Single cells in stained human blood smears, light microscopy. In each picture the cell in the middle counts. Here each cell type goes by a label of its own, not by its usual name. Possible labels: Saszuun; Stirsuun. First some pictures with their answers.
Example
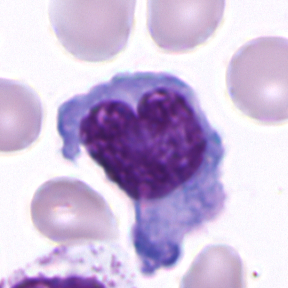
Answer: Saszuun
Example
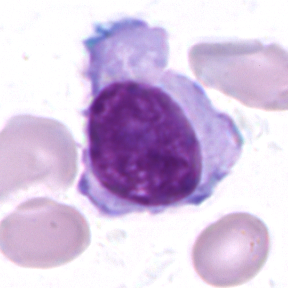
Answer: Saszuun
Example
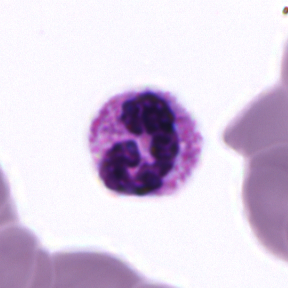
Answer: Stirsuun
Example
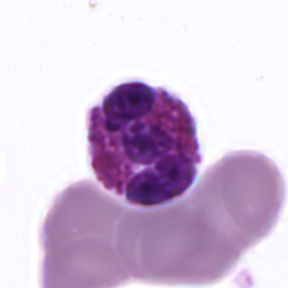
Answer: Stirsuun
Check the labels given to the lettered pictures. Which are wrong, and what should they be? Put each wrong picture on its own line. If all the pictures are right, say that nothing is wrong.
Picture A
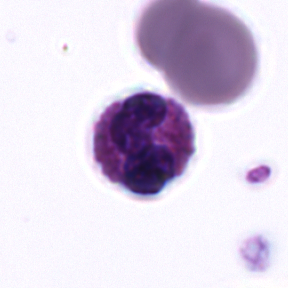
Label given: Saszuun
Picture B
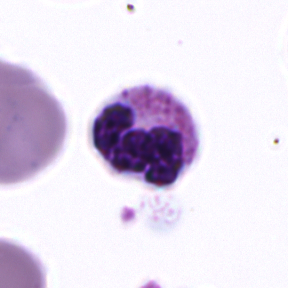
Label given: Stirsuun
A is labelled Saszuun; correct label: Stirsuun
